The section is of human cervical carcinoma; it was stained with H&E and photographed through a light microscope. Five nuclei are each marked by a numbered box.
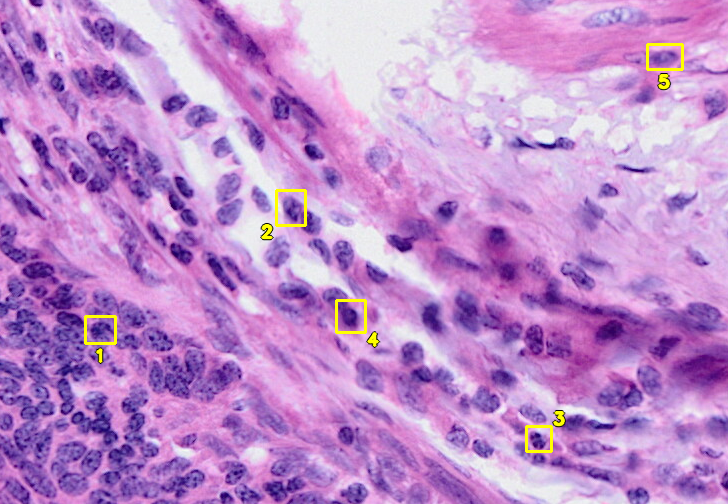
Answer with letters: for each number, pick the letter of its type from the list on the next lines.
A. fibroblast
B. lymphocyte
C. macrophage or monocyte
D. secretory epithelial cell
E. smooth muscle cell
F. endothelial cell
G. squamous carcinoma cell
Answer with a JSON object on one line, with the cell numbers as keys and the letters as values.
{"1": "G", "2": "B", "3": "B", "4": "B", "5": "E"}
